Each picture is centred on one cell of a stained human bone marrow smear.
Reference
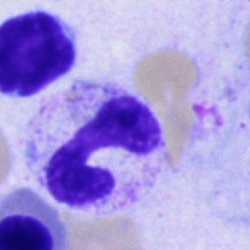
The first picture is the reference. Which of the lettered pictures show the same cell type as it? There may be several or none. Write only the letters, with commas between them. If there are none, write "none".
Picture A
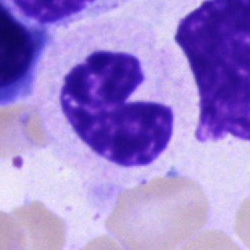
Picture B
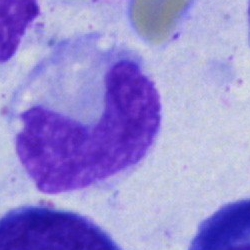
none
